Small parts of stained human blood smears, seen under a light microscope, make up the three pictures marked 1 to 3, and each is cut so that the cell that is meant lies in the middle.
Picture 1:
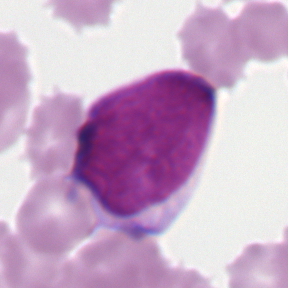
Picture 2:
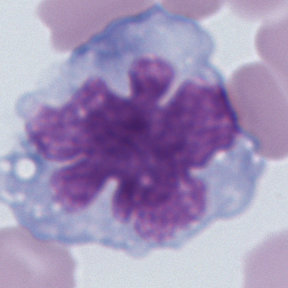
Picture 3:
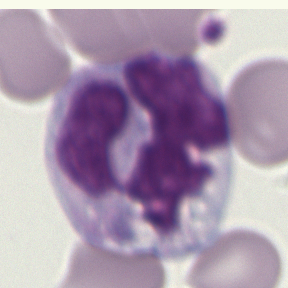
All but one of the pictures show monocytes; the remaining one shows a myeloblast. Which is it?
1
